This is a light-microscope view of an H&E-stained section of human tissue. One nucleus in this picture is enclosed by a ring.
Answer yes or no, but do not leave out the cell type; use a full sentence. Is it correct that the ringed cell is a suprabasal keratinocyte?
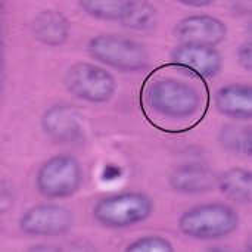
Yes, that is right: the ringed cell is a suprabasal keratinocyte.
